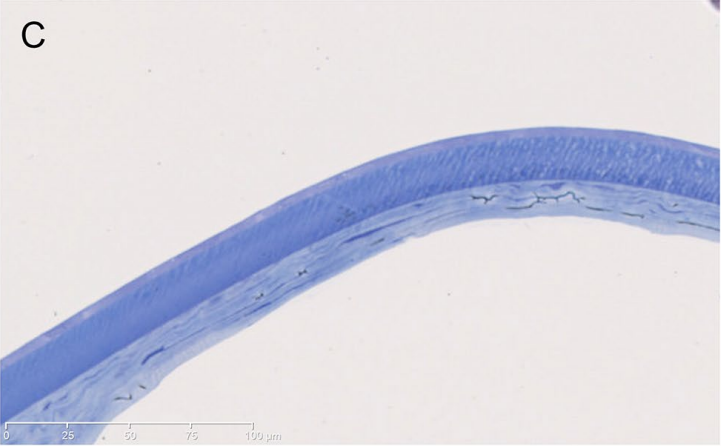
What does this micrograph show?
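A thin separated sheet of posterior cornea made of a thick, uniform, darker blue acellular membrane and a thinner light blue lamellar layer. The light blue layer contains horizontally aligned, thin, darker staining linear profiles of flattened keratocytes.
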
